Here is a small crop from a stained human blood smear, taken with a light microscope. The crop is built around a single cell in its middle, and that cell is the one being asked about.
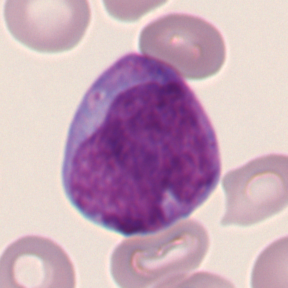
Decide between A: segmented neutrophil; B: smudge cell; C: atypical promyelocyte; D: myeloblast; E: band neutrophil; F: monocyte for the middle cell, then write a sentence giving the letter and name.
The expected answer is option C, the central cell being an atypical promyelocyte.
